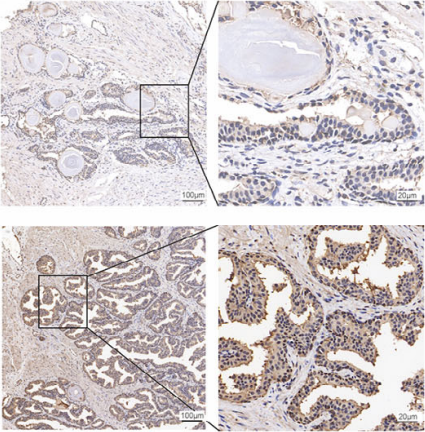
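Prostate glands sit in a fibromuscular stroma of spindle cells. In the lower row the glands are crowded and folded into papillary infoldings, their epithelial cytoplasm stained a strong brown, with brown also scattered through the surrounding stroma.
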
